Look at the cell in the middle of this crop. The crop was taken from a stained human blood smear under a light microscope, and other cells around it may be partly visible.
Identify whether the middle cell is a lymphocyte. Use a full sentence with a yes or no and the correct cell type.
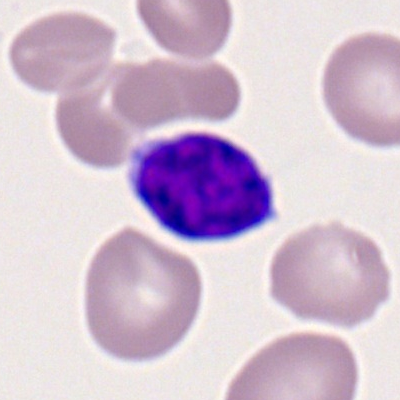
Yes, the cell at the center of the crop is a lymphocyte.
